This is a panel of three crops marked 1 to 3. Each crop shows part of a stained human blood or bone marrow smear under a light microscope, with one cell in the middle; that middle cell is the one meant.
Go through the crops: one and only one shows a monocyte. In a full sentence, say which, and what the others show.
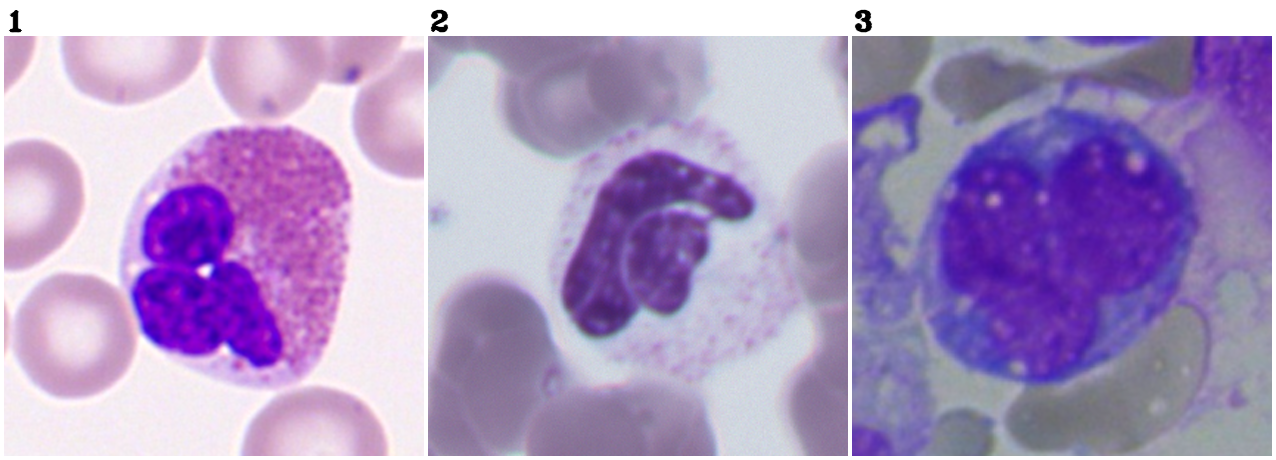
Seen in crop 3 is a monocyte, while crop 1 is an eosinophil and crop 2 is a segmented neutrophil.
